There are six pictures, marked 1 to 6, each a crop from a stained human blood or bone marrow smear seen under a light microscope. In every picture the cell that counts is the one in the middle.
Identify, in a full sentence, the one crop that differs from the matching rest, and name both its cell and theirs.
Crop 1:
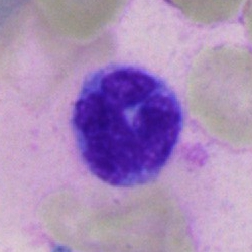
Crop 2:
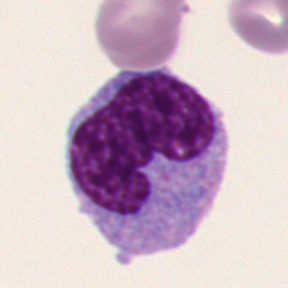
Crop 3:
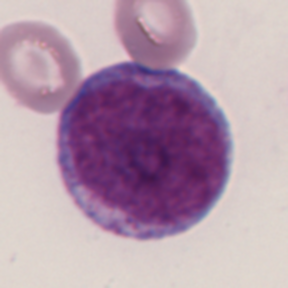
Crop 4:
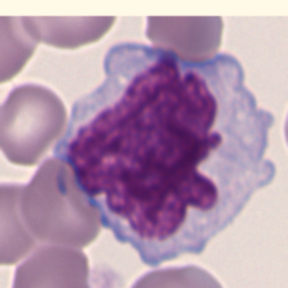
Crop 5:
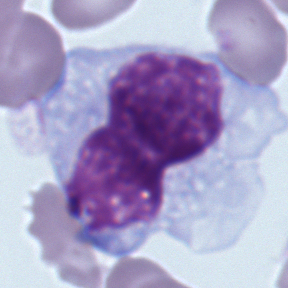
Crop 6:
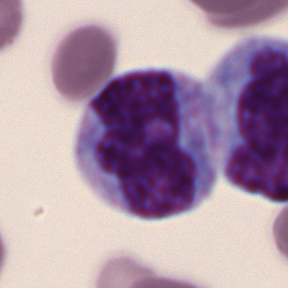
Crop 3 stands apart as a promyelocyte, whereas the remaining crops all show monocytes.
